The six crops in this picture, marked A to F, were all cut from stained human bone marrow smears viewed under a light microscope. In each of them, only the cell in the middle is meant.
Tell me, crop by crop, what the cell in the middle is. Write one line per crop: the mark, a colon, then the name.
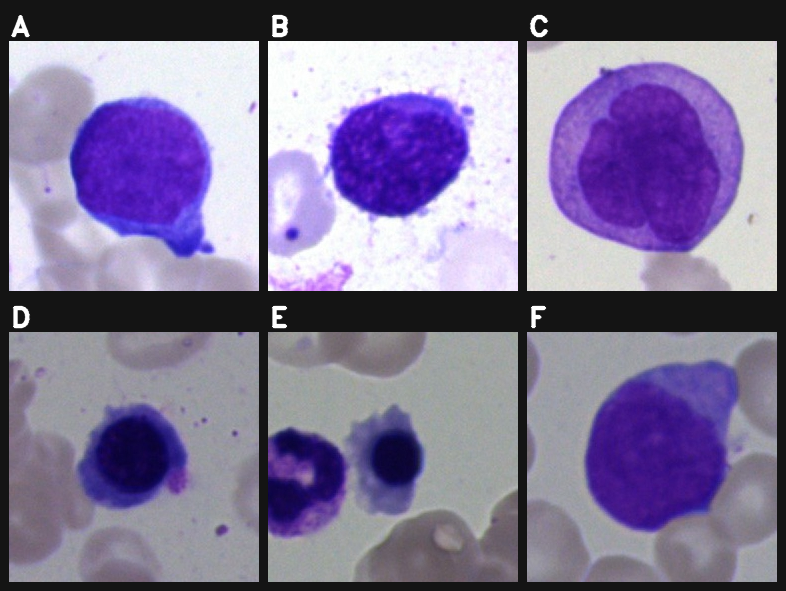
A: blast
B: blast
C: blast
D: erythroblast
E: erythroblast
F: blast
